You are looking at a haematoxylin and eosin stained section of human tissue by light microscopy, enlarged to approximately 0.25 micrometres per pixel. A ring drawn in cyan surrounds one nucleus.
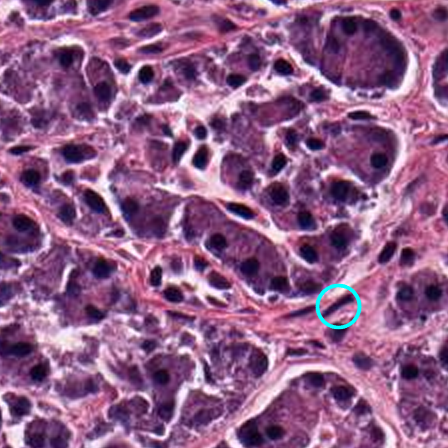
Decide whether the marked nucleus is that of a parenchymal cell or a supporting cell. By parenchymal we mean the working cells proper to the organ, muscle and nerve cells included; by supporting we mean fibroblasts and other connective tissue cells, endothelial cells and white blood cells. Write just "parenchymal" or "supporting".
supporting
